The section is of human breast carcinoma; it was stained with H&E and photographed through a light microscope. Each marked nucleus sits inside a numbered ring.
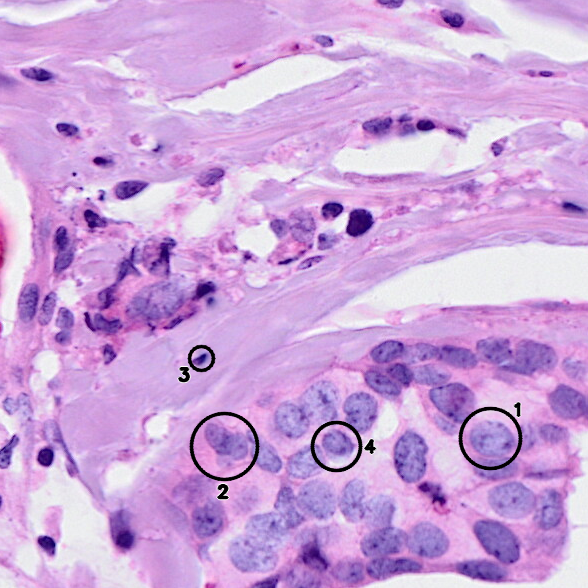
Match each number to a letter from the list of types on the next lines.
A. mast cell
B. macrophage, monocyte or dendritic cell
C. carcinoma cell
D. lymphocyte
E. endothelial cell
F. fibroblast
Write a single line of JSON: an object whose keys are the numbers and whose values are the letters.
{"1": "C", "2": "C", "3": "D", "4": "C"}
